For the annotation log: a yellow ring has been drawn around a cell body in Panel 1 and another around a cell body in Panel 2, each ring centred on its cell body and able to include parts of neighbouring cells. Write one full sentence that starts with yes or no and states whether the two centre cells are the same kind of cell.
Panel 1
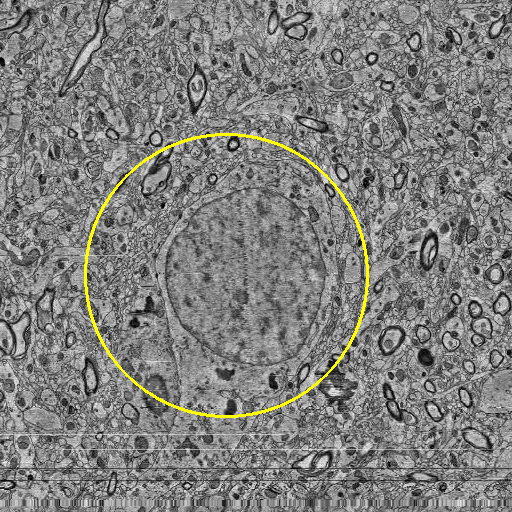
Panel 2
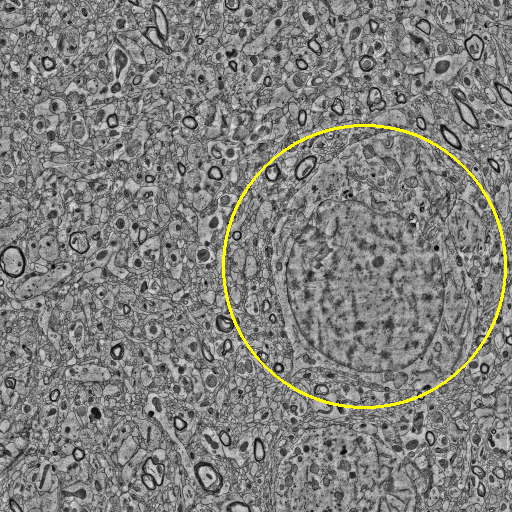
Yes, the two centre cells are the same kind of cell.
